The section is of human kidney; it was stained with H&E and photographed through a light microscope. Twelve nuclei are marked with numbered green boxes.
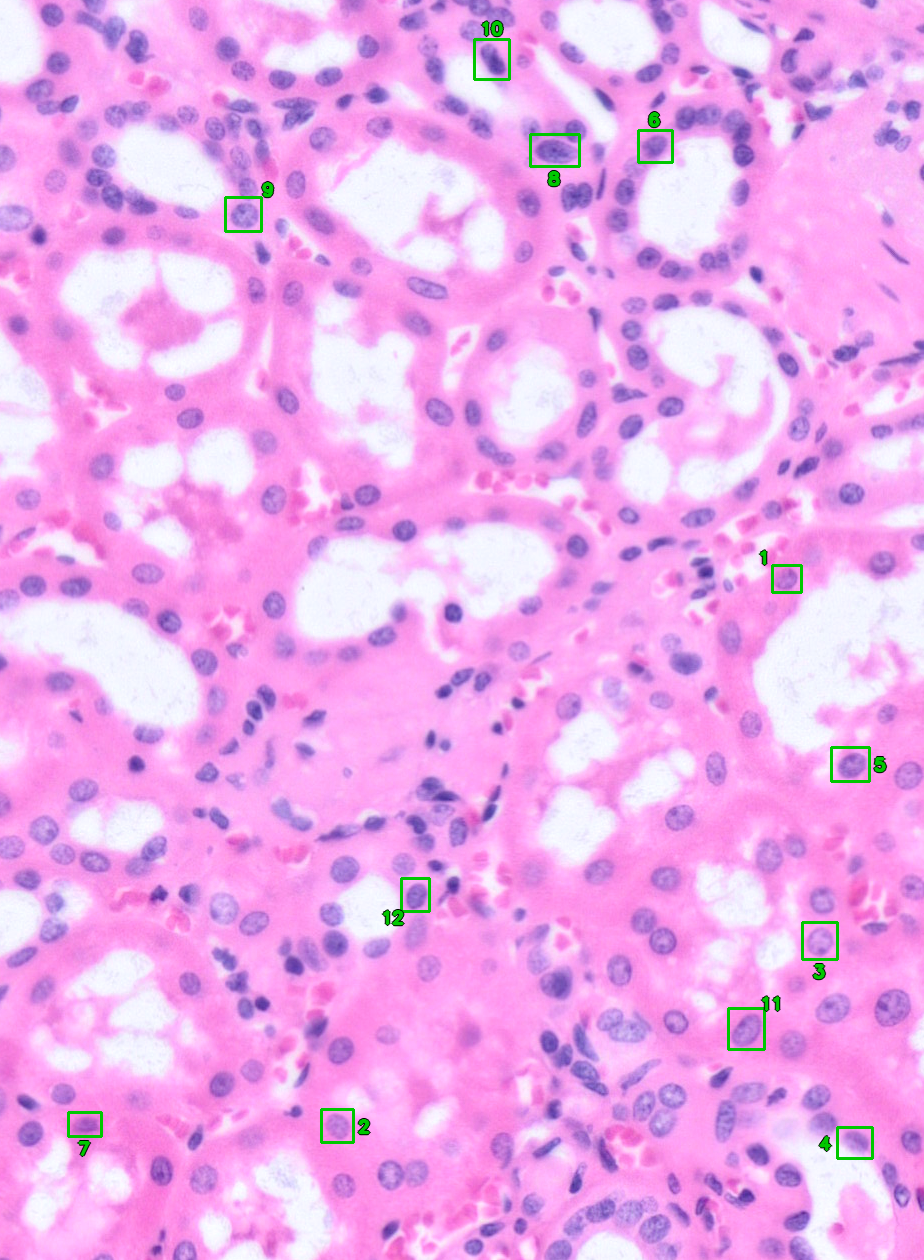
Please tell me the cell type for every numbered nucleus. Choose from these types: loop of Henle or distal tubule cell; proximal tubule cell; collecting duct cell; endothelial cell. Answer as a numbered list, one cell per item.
1. proximal tubule cell
2. proximal tubule cell
3. proximal tubule cell
4. collecting duct cell
5. proximal tubule cell
6. collecting duct cell
7. proximal tubule cell
8. collecting duct cell
9. collecting duct cell
10. collecting duct cell
11. proximal tubule cell
12. collecting duct cell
